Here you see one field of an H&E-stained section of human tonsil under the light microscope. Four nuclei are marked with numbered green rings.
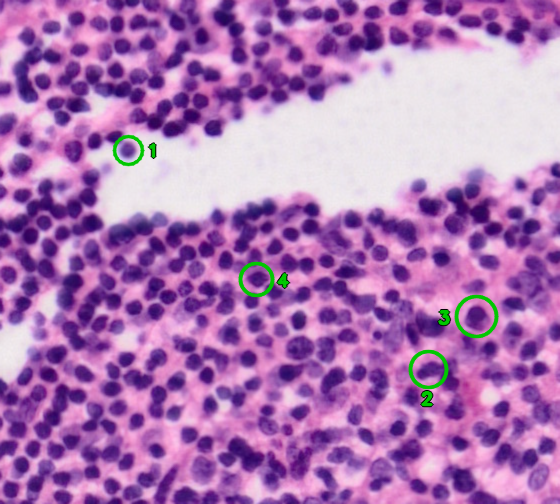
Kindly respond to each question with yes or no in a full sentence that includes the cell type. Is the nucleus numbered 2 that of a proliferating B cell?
Yes, among the marked cells, the one with number 2 is a proliferating B cell.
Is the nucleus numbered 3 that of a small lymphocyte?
No, cell 3 counts as a proliferating B cell rather than as a small lymphocyte.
